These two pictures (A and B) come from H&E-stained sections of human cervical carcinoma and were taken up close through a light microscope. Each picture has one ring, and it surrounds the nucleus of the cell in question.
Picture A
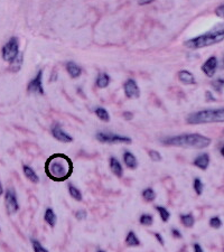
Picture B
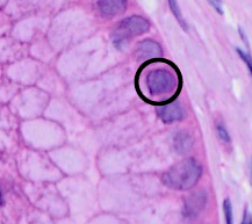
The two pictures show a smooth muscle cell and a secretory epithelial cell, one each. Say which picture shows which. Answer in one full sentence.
In picture A the cell is a smooth muscle cell; in picture B, a secretory epithelial cell.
